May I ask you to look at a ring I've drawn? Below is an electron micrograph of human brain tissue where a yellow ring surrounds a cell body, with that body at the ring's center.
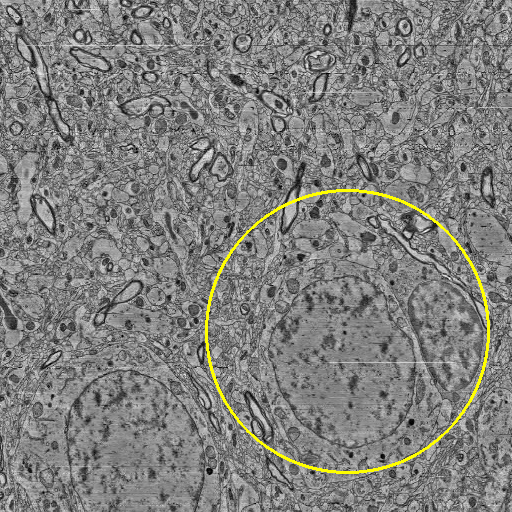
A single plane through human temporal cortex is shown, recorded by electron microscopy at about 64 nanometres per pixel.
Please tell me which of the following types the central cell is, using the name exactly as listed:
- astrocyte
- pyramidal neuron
pyramidal neuron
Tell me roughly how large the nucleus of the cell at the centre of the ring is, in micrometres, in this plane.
In this plane, about 11 micrometres in length and 9 in width.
